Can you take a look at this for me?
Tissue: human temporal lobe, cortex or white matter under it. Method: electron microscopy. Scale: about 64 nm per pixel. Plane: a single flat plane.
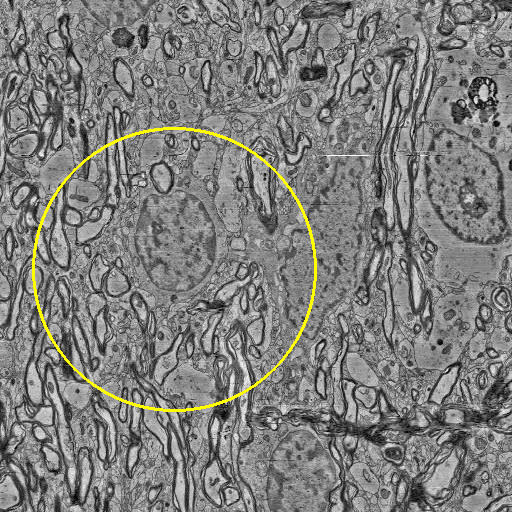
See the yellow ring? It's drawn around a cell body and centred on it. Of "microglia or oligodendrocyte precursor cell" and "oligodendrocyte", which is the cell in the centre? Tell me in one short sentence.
The one in the centre is an oligodendrocyte.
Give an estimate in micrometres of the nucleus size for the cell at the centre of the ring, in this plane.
About 7 by 5 micrometers for the nucleus, in this plane.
